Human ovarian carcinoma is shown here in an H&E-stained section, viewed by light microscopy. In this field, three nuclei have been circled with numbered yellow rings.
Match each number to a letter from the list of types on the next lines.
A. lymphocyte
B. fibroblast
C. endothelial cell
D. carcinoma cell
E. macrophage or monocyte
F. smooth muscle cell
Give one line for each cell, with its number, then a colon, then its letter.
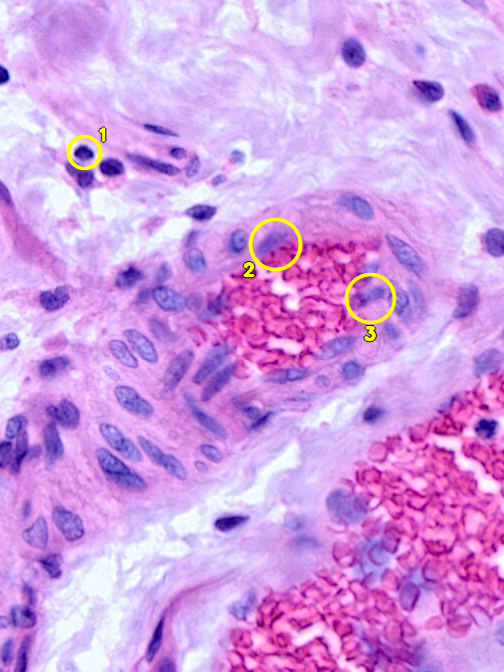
1: A
2: C
3: C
